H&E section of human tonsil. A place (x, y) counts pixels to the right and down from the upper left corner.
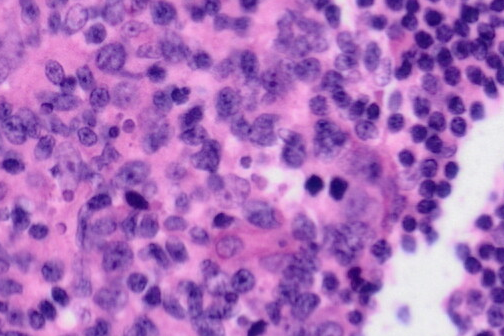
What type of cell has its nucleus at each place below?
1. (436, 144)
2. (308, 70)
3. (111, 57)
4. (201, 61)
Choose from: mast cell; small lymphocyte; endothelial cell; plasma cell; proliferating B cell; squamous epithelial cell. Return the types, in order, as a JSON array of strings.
["small lymphocyte", "proliferating B cell", "proliferating B cell", "proliferating B cell"]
